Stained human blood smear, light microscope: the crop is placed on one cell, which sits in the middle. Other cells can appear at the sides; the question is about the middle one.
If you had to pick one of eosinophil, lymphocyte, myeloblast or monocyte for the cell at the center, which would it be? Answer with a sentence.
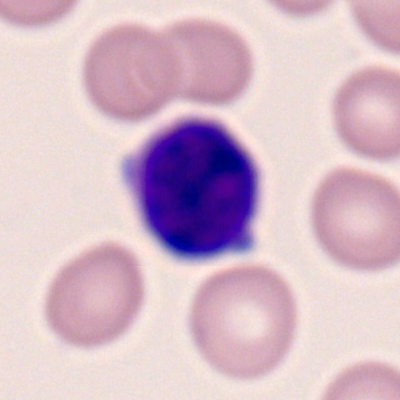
For this crop, the cell in the middle is a lymphocyte.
